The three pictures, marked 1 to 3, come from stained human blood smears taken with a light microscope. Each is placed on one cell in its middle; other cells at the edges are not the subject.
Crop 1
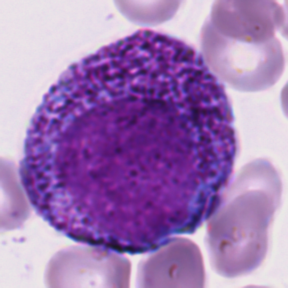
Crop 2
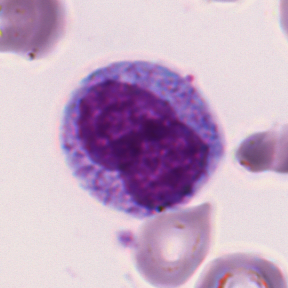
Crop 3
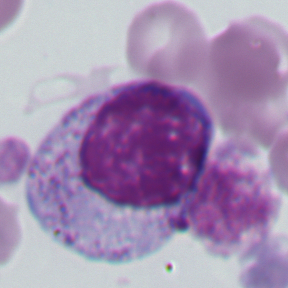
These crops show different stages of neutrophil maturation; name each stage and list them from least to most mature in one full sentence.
In ascending maturational order, the crops are crop 1 (a promyelocyte), crop 3 (a myelocyte) and crop 2 (a metamyelocyte).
